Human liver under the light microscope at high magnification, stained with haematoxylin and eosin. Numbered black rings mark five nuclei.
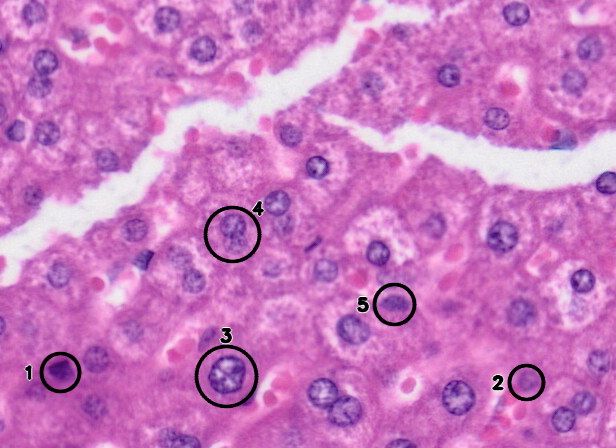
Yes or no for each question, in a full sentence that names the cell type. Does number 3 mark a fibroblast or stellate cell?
No, cell 3 is correctly identified as a hepatocyte and not as a fibroblast or stellate cell.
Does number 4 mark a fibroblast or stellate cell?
No, not a fibroblast or stellate cell: the cell with number 4 is a hepatocyte.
